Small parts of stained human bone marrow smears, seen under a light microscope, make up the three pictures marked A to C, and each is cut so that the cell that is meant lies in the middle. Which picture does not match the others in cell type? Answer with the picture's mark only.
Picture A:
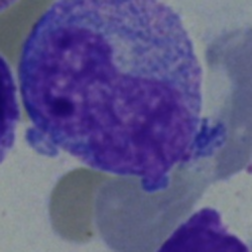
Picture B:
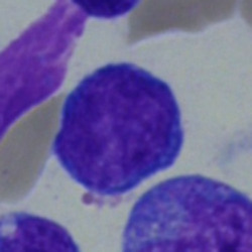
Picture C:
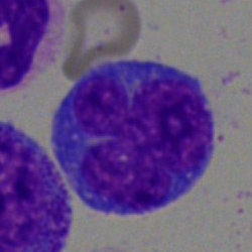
A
